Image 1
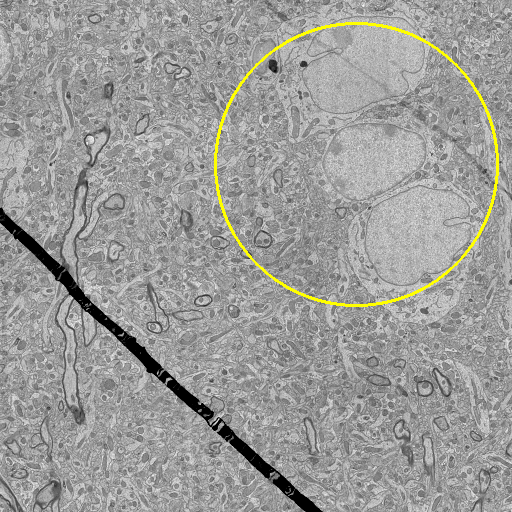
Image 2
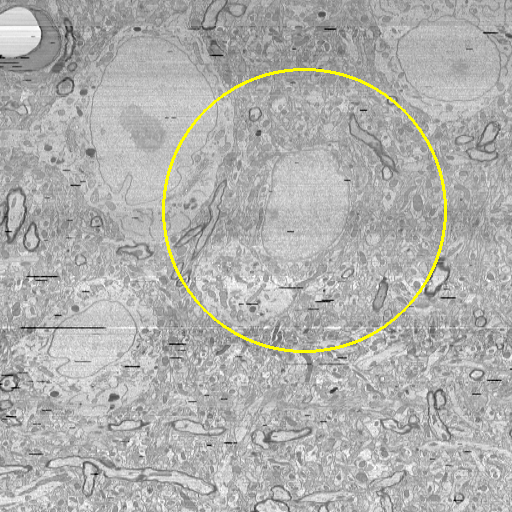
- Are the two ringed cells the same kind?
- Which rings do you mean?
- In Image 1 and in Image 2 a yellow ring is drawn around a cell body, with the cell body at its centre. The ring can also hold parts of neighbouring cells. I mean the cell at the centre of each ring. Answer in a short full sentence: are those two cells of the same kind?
Yes, both cells are of the same kind.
